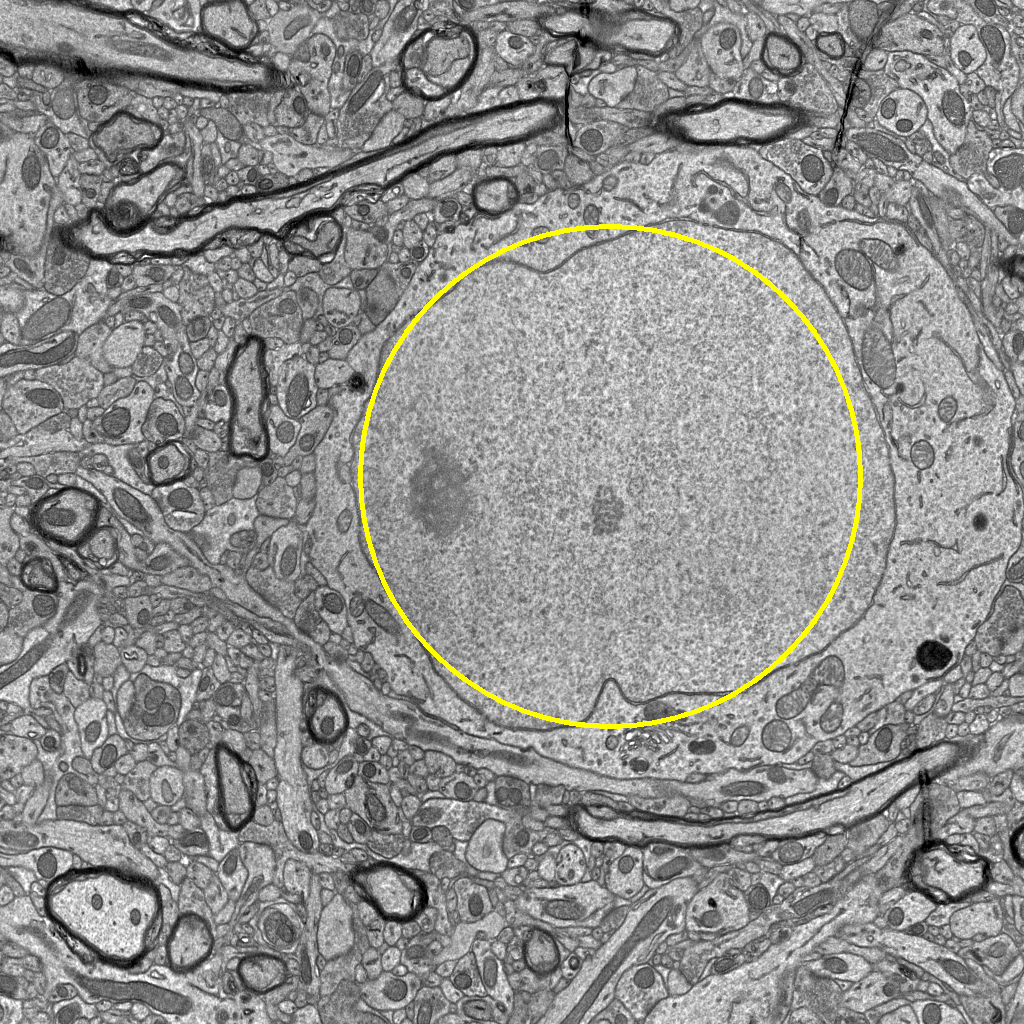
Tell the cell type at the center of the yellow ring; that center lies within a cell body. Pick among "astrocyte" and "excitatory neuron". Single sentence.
The ring's center lies in the body of an excitatory neuron.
